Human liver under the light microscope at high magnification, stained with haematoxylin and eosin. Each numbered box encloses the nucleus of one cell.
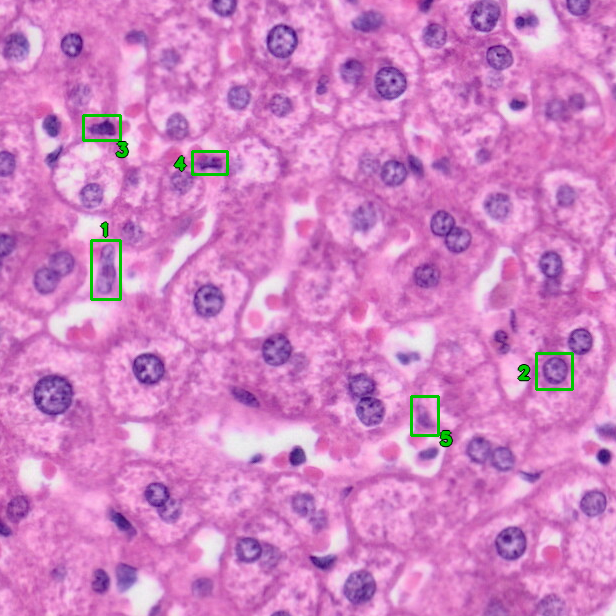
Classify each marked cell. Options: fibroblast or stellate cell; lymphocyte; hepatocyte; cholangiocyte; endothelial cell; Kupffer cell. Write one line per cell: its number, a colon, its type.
1: Kupffer cell
2: hepatocyte
3: fibroblast or stellate cell
4: endothelial cell
5: Kupffer cell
